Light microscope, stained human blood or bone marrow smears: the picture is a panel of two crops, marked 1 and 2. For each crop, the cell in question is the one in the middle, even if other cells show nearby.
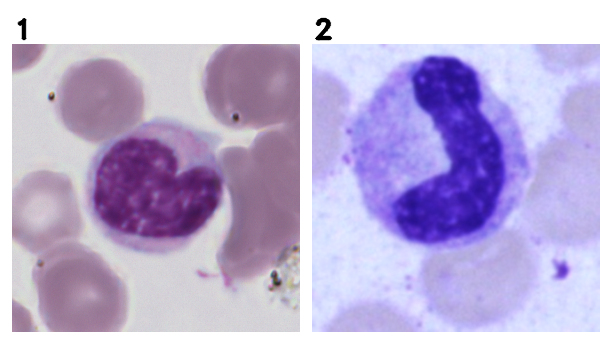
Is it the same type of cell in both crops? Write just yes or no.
yes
